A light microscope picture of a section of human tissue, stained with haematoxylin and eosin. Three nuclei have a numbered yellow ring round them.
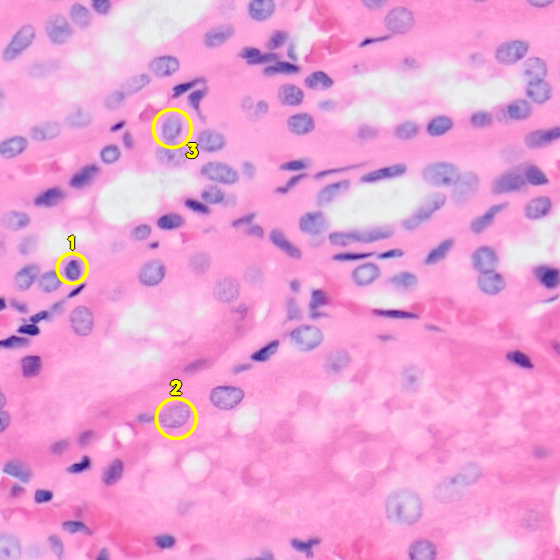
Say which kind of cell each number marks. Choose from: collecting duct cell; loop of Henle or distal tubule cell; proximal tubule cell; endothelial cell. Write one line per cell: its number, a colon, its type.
1: collecting duct cell
2: proximal tubule cell
3: collecting duct cell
